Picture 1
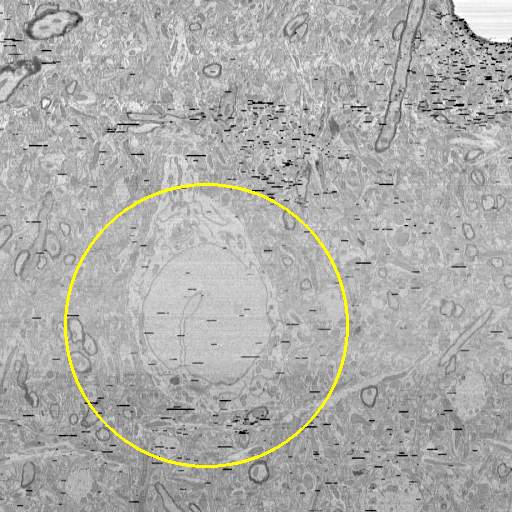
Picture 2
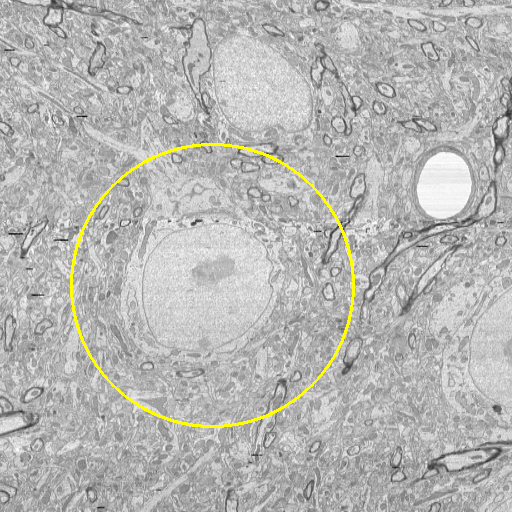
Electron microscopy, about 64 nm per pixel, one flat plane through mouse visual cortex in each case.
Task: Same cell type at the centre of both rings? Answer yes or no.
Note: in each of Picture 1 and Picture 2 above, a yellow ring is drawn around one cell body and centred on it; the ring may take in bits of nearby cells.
no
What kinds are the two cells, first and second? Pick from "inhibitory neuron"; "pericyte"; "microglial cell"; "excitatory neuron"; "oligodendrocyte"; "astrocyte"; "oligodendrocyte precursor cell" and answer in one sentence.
The second picture holds an excitatory neuron in its ring, and the first holds an inhibitory neuron.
